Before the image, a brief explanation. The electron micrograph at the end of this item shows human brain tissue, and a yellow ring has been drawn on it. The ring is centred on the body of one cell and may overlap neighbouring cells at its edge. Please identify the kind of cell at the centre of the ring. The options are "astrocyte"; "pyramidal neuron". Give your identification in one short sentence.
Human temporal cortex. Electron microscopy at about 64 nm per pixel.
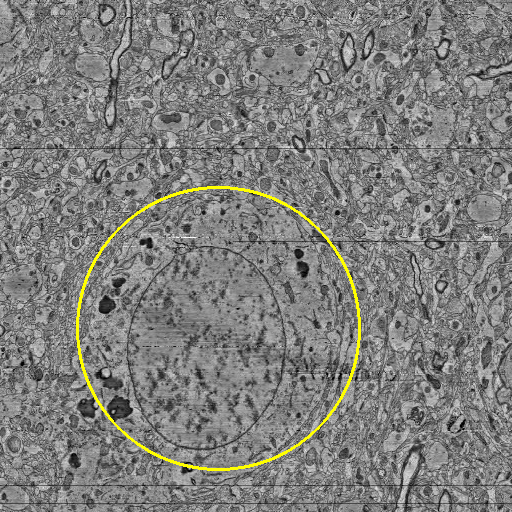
The ring has been placed around a pyramidal neuron.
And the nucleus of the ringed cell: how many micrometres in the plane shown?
The nucleus comes to roughly 13 by 11 micrometres in this plane.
